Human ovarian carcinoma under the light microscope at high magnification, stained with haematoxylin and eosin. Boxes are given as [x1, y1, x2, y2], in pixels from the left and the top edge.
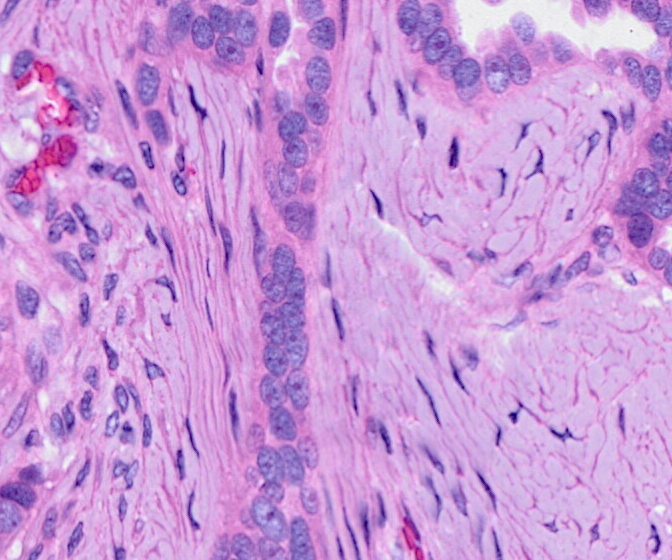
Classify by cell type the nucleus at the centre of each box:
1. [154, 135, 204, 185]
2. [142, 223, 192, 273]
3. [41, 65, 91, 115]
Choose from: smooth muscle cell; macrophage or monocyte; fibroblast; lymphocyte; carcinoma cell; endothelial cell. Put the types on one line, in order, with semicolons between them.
fibroblast; fibroblast; endothelial cell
